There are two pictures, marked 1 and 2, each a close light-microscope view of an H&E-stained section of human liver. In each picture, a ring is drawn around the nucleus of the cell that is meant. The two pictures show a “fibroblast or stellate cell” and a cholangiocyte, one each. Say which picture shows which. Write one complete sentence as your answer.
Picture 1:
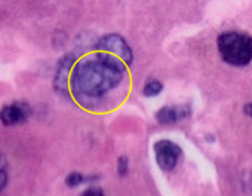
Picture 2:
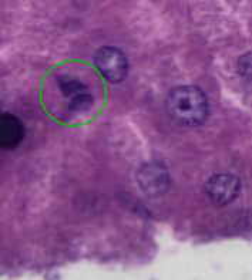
It is picture 1 that shows a cholangiocyte, and picture 2 that shows a “fibroblast or stellate cell”.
